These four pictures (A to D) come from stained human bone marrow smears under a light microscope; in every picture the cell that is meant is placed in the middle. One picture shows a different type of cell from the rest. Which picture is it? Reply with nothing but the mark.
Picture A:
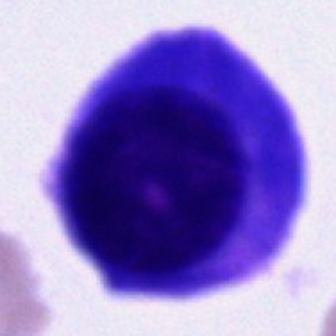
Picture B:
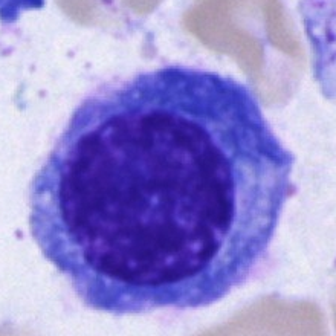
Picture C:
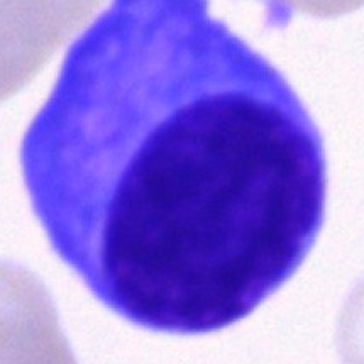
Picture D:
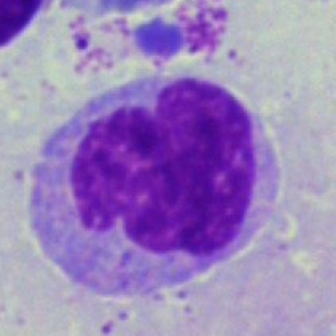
D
